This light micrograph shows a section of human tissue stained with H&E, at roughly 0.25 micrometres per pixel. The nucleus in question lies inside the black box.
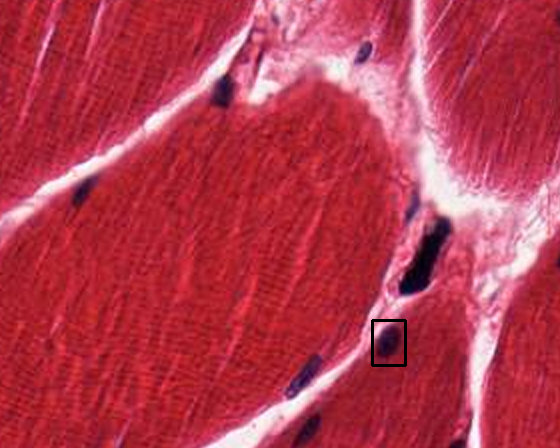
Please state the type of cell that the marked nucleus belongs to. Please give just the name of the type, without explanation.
skeletal muscle fibre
